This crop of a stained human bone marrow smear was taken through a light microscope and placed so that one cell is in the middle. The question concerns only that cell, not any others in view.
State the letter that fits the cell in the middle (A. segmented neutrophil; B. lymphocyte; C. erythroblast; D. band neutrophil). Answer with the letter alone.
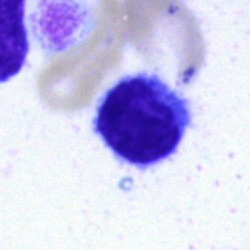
B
